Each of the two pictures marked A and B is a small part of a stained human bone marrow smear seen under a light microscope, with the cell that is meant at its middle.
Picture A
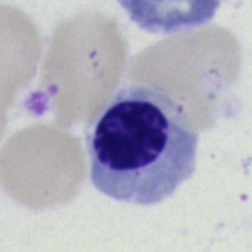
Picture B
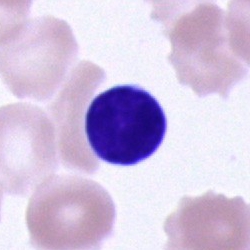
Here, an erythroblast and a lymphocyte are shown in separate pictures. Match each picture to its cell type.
A: erythroblast
B: lymphocyte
